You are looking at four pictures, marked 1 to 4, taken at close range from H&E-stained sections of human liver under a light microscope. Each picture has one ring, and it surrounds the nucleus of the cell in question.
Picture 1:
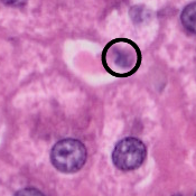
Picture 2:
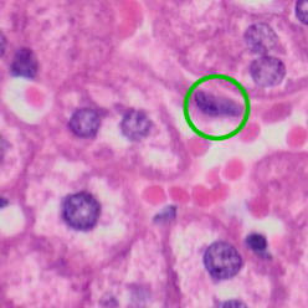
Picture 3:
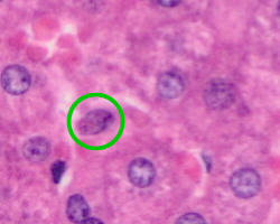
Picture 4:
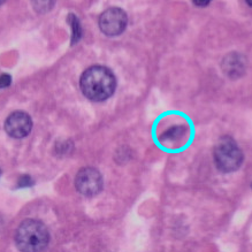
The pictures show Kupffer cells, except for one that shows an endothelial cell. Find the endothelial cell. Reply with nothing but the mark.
4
